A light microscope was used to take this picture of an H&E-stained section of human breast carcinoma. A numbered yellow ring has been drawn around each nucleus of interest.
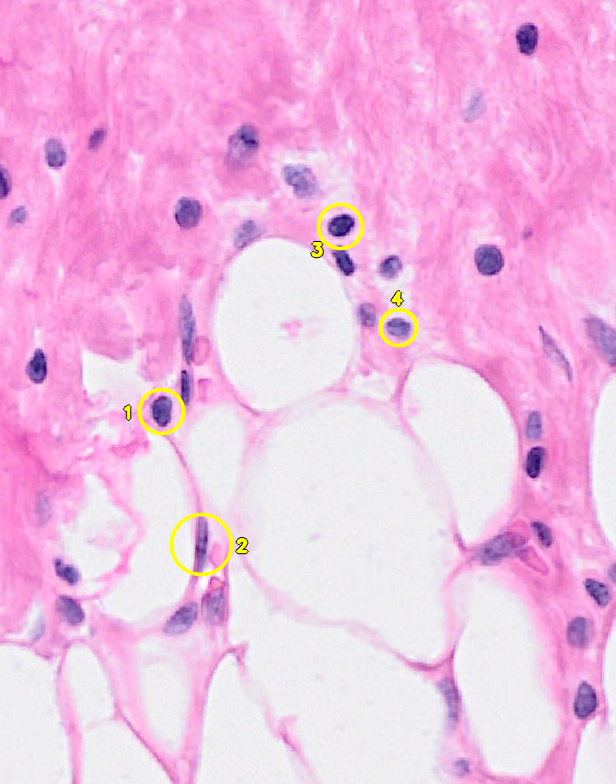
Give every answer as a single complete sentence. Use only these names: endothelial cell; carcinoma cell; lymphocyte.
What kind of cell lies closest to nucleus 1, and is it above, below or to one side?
Just above and to the right of nucleus 1 lies the nearest nucleus, which belongs to an endothelial cell.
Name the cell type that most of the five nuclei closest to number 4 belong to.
The majority of the five nuclei closest to number 4 belong to lymphocytes.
